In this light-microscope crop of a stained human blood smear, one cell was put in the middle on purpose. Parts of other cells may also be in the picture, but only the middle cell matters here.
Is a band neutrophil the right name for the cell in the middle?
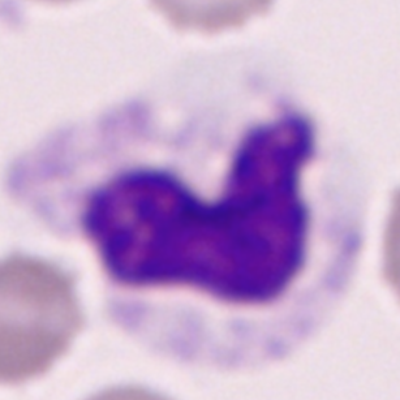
yes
